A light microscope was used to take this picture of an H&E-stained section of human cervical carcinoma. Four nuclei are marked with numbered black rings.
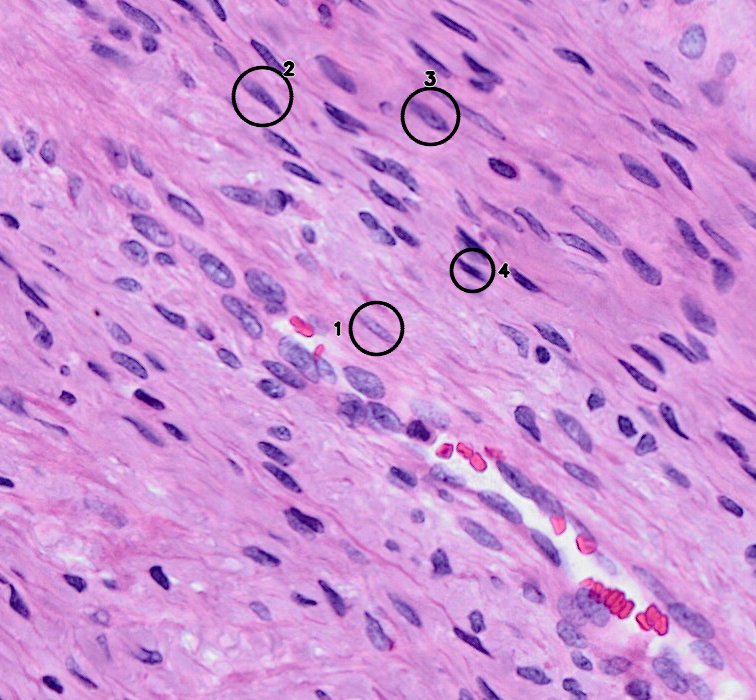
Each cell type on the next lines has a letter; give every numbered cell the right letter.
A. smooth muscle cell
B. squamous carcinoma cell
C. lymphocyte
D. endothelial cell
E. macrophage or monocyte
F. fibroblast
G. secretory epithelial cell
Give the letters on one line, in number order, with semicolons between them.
A; F; F; F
